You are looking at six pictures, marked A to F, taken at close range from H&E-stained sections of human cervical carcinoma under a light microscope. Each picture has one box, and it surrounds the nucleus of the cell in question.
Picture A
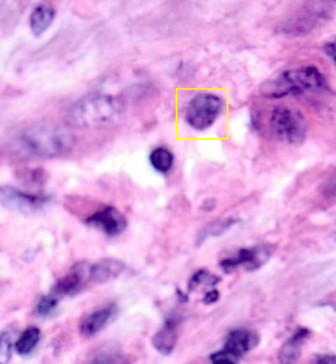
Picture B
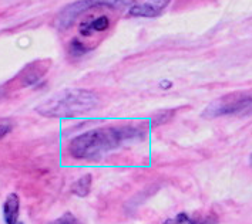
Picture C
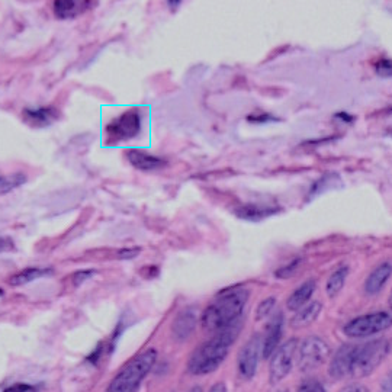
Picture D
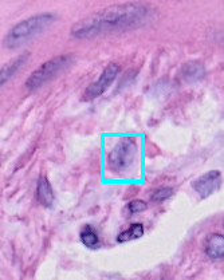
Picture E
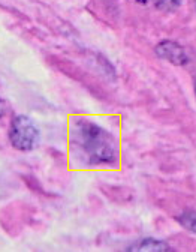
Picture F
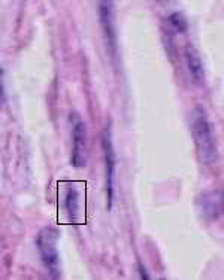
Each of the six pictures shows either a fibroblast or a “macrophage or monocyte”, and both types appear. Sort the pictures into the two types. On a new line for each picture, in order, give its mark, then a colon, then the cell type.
A: macrophage or monocyte
B: fibroblast
C: macrophage or monocyte
D: fibroblast
E: fibroblast
F: fibroblast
